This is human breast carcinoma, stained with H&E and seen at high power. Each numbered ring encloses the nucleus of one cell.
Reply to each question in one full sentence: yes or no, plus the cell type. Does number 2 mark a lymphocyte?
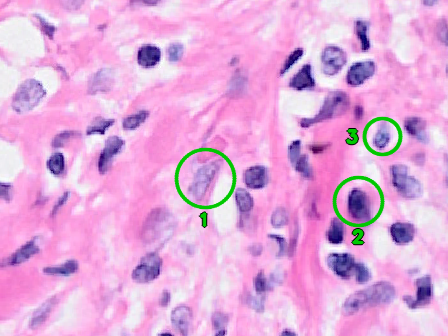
Yes, number 2 corresponds to a lymphocyte.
